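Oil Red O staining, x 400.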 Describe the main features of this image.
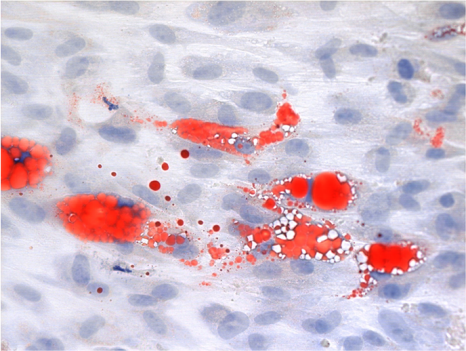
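This is a layer of cultured cells, and a few of them are filled with bright red droplets in their cytoplasm. Most cells are flat and spindle-shaped, with oval nuclei stained pale blue and a faint, barely visible cytoplasm. In a handful of cells, red droplets crowd the cytoplasm: some are tiny dots, others round globules, and in places they run together into large red masses that sit beside or partly cover the nucleus. Small white, angular specks lie among the red clusters. The cells around them, without droplets, keep their slender shape.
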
